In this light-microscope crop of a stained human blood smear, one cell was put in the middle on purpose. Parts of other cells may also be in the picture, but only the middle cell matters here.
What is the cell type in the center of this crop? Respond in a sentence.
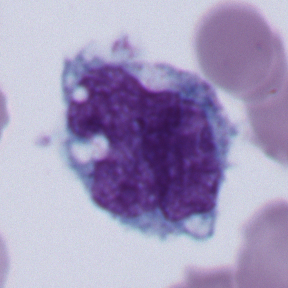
Looking at the middle of the crop, the cell there is a monocyte.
